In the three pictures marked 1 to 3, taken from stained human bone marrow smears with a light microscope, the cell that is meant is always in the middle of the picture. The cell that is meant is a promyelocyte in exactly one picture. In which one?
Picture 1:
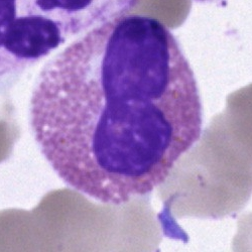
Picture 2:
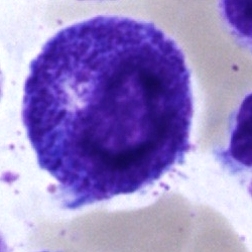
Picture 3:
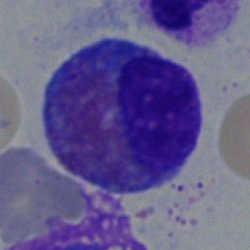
2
